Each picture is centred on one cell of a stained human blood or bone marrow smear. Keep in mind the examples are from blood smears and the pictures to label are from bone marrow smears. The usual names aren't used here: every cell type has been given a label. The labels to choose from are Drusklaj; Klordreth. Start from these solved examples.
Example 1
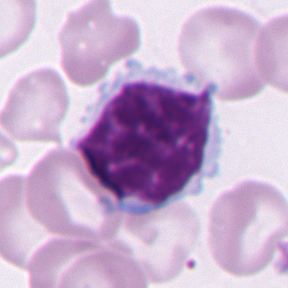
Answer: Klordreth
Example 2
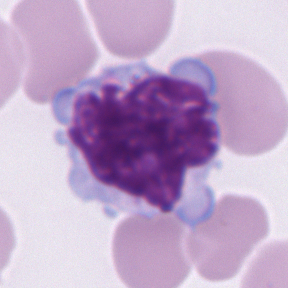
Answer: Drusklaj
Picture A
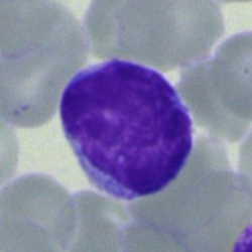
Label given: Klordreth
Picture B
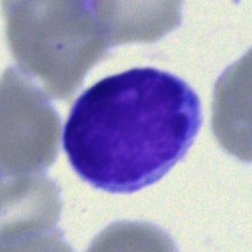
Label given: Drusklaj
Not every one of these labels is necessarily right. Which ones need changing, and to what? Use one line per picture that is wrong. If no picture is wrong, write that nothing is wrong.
B should be Klordreth, not Drusklaj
